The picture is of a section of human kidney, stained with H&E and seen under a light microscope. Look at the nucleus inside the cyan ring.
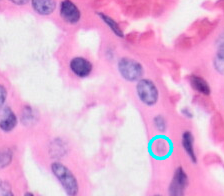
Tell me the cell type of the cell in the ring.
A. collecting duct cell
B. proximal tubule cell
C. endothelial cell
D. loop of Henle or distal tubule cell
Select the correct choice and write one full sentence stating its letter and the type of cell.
Option A matches the cell in the ring, which is a collecting duct cell.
